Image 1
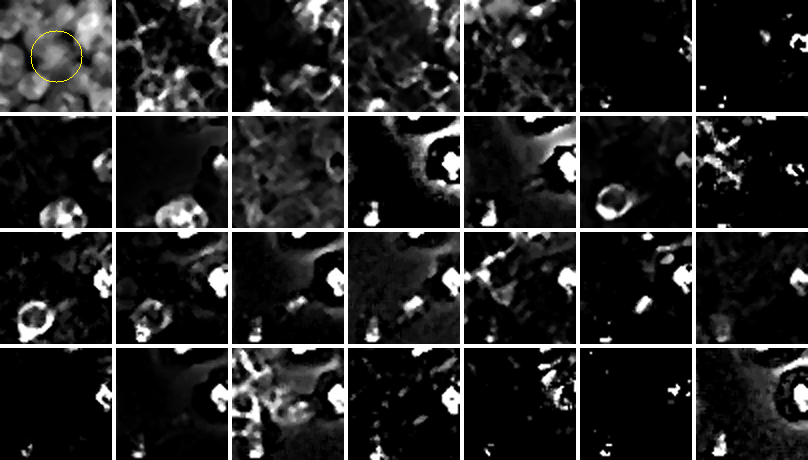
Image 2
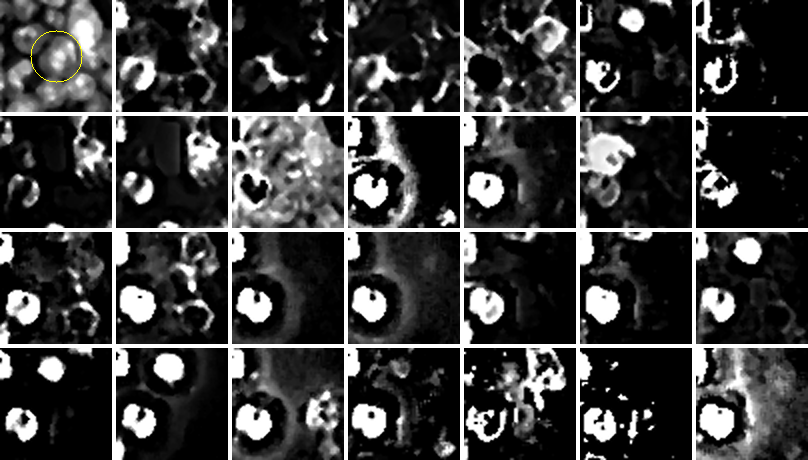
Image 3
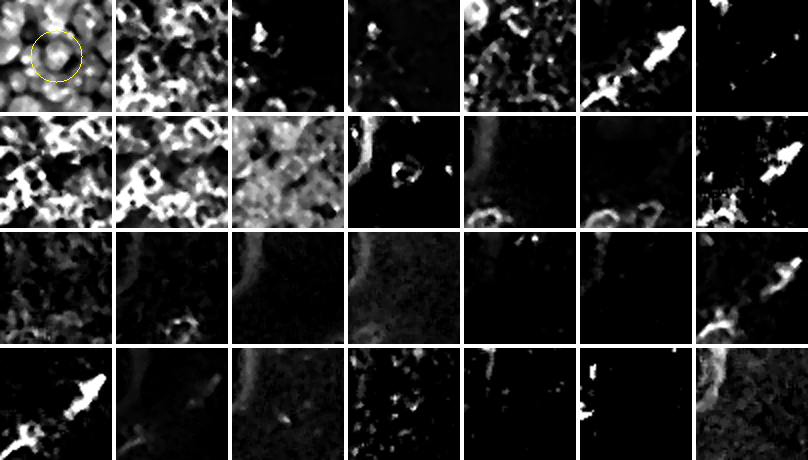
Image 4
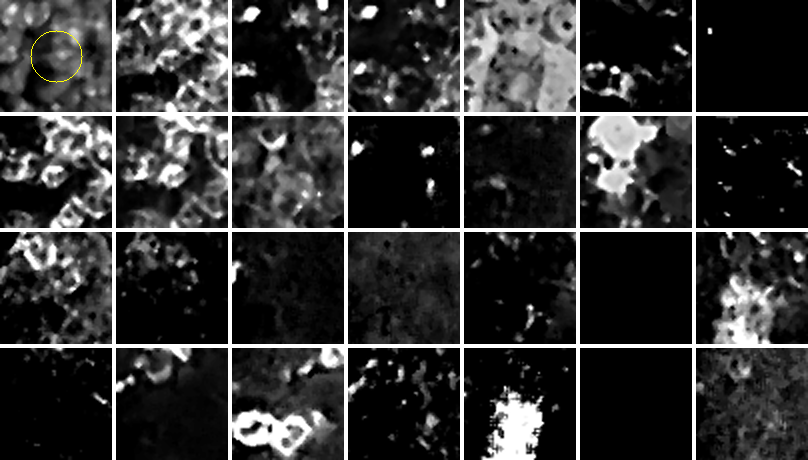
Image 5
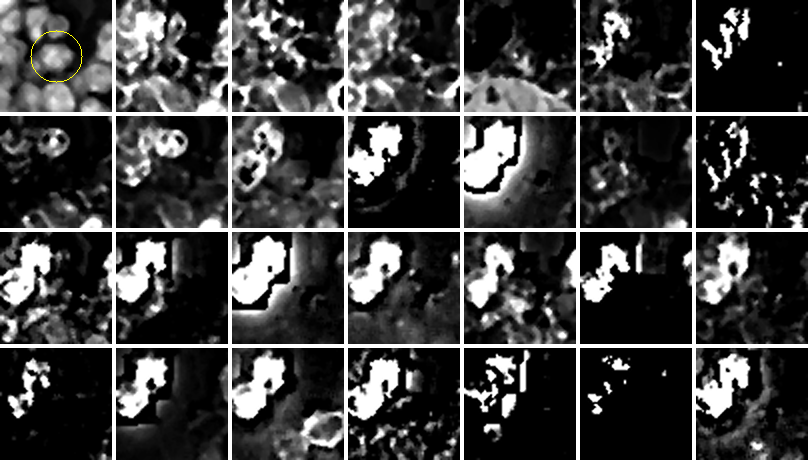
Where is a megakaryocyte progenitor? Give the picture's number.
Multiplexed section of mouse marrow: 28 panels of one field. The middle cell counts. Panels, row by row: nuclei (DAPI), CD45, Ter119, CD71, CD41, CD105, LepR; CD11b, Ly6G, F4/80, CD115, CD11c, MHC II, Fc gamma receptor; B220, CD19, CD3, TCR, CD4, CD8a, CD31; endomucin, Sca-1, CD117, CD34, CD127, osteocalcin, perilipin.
4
